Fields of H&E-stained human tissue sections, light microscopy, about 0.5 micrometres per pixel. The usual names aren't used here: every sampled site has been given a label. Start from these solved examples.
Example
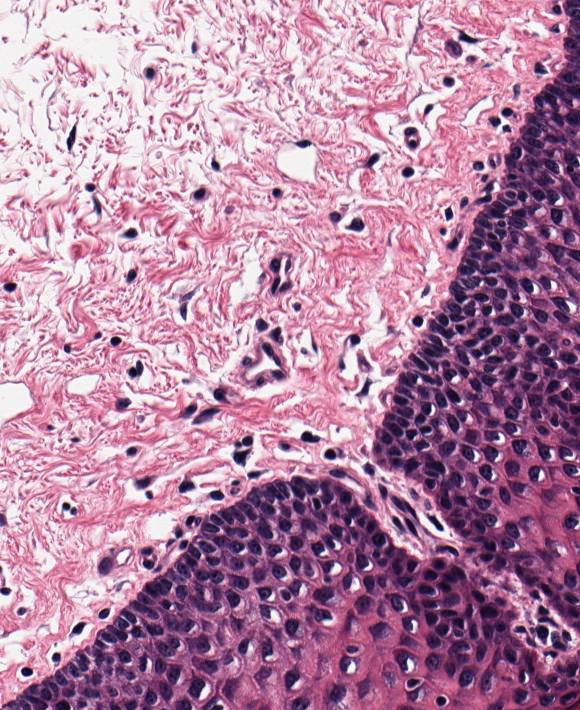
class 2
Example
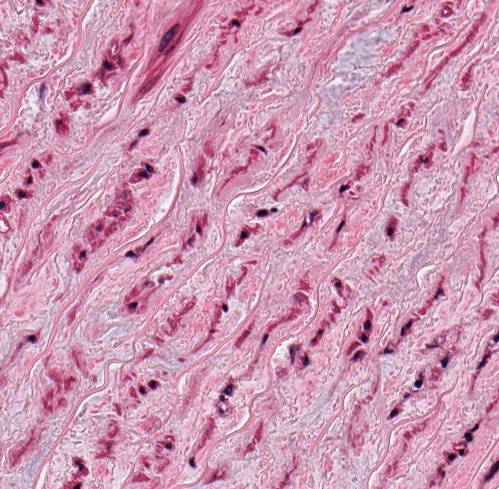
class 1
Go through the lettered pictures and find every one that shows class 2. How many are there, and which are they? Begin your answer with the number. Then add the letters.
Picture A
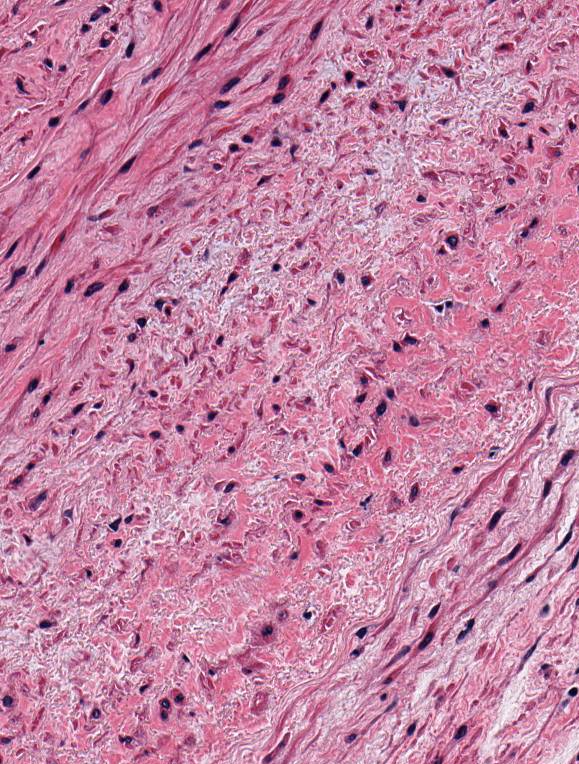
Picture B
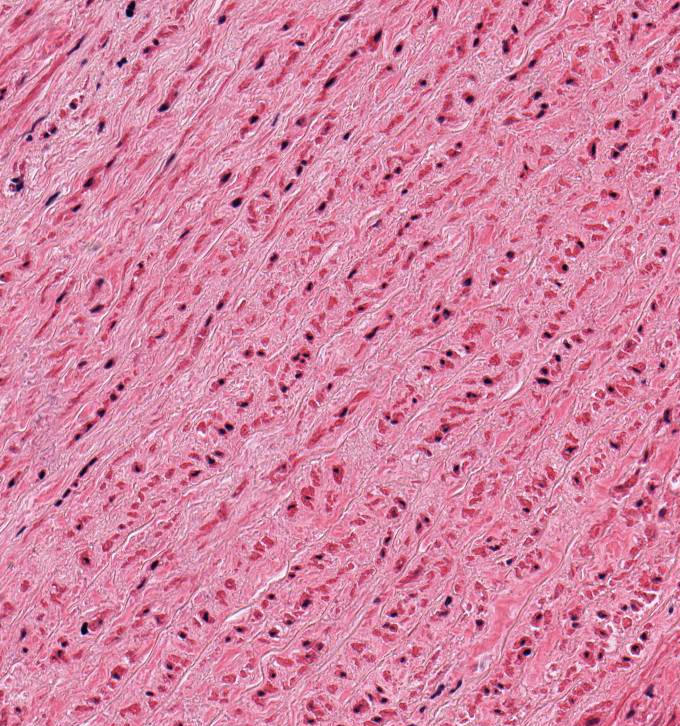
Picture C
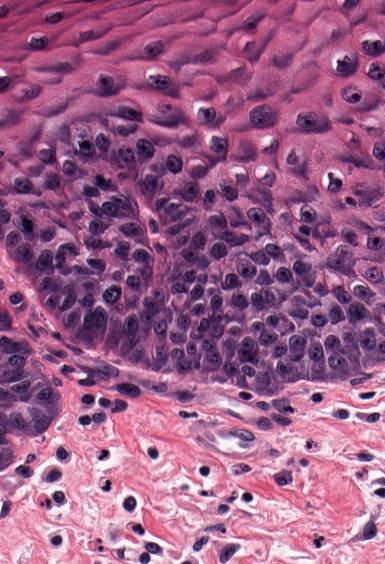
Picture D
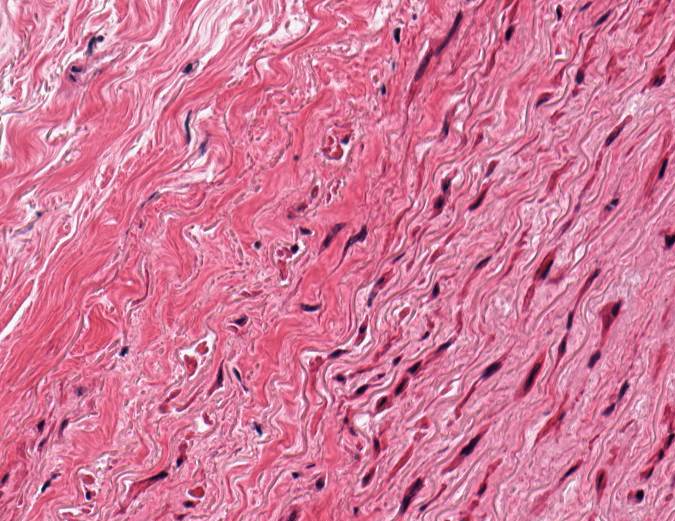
1, namely C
